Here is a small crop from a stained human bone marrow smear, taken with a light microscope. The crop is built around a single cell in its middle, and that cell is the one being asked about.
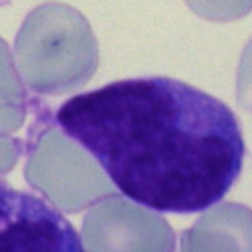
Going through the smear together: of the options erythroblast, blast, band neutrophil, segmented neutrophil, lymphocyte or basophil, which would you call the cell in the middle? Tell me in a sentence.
The cell that lies at the centre of the crop is a blast.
